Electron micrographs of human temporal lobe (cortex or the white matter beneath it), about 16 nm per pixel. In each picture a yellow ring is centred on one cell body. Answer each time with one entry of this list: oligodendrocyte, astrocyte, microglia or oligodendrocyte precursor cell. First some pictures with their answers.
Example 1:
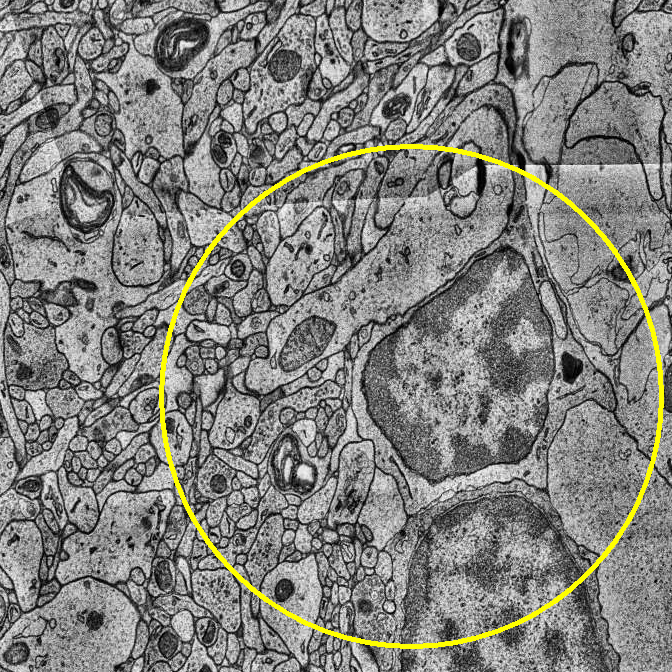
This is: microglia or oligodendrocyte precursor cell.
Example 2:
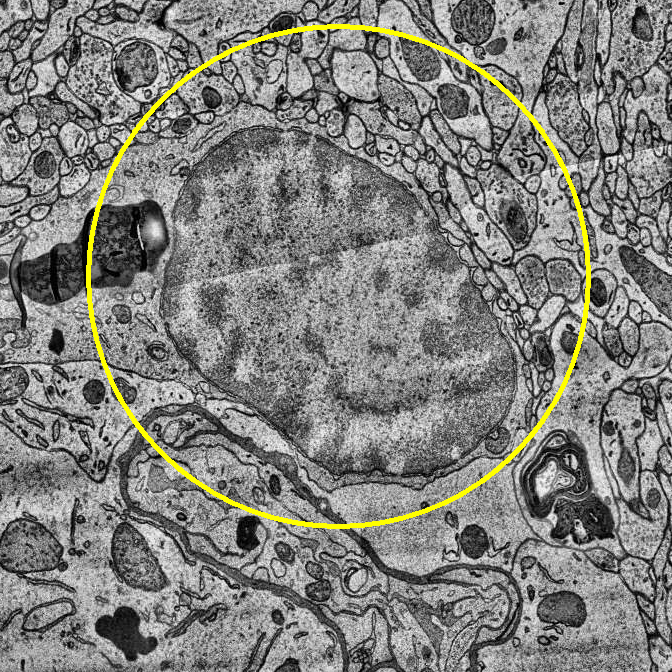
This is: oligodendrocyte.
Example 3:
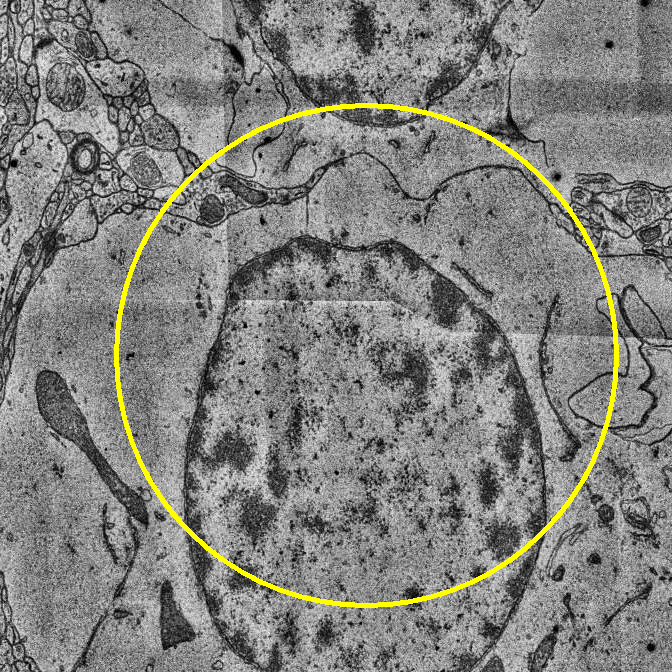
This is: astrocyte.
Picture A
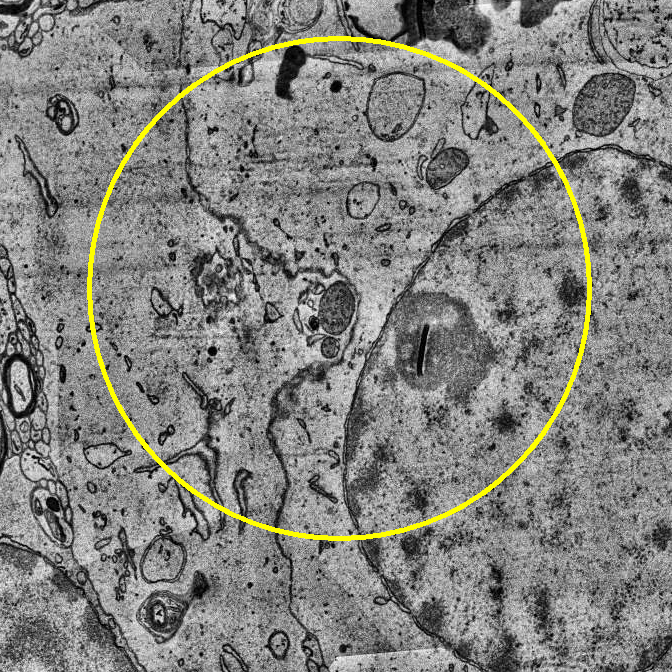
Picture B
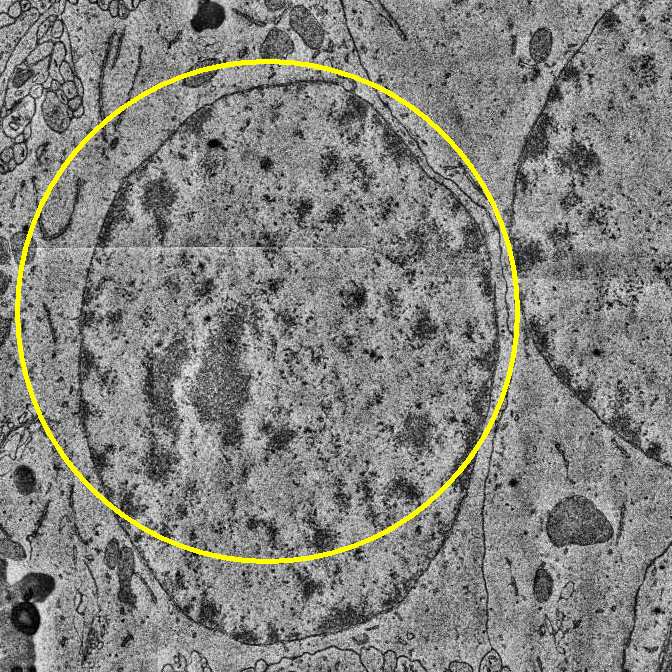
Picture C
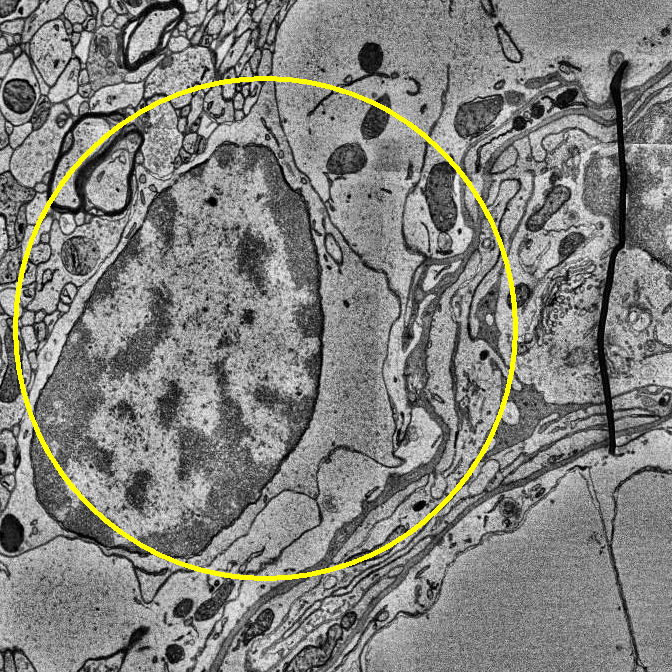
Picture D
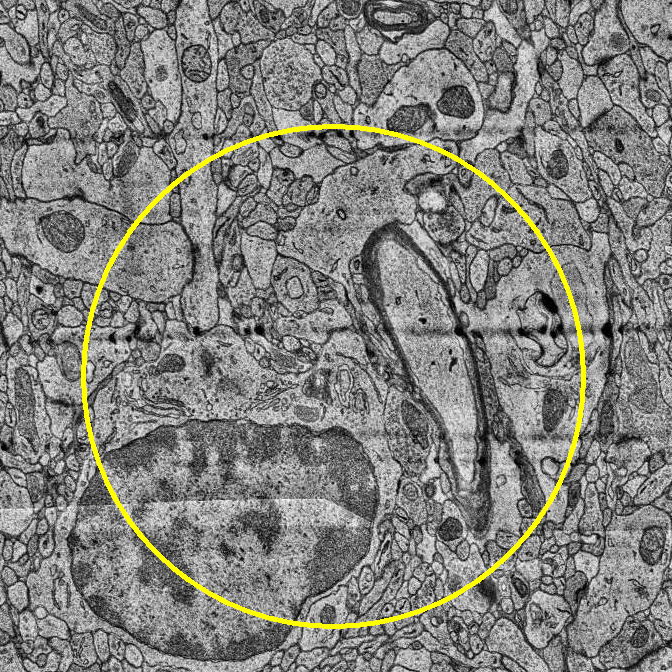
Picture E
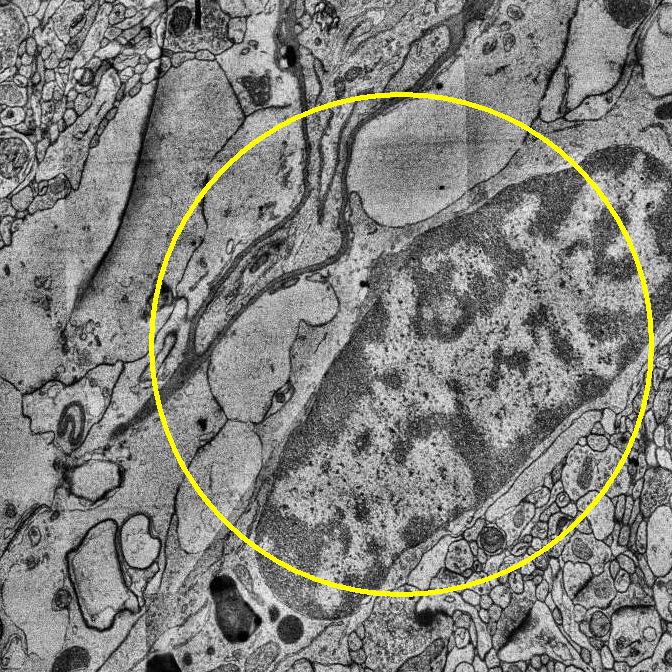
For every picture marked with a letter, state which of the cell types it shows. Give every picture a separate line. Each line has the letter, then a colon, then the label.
A: astrocyte.
B: astrocyte.
C: microglia or oligodendrocyte precursor cell.
D: microglia or oligodendrocyte precursor cell.
E: microglia or oligodendrocyte precursor cell.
